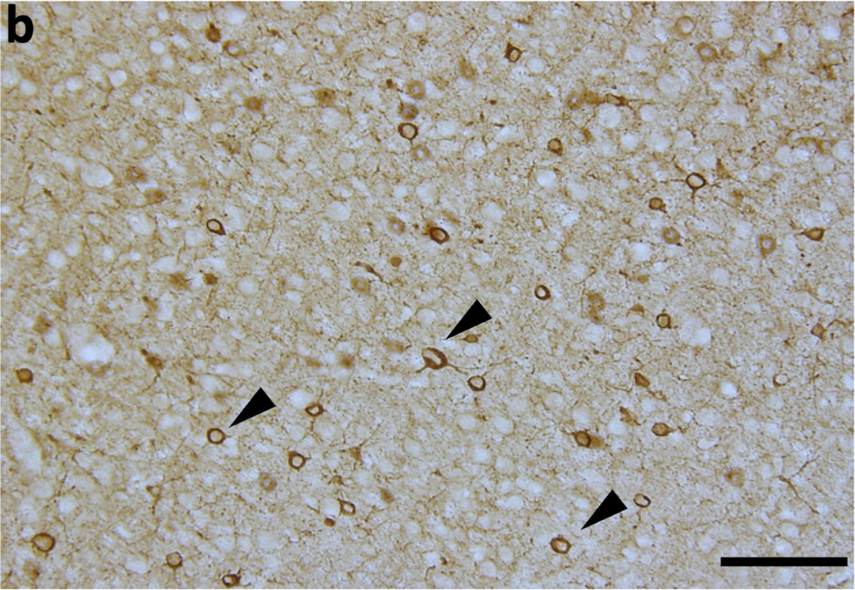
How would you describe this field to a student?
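A few show a brown process leaving the soma. Around them the neuropil is pale tan, with numerous unstained round spaces and fine brown threads.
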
